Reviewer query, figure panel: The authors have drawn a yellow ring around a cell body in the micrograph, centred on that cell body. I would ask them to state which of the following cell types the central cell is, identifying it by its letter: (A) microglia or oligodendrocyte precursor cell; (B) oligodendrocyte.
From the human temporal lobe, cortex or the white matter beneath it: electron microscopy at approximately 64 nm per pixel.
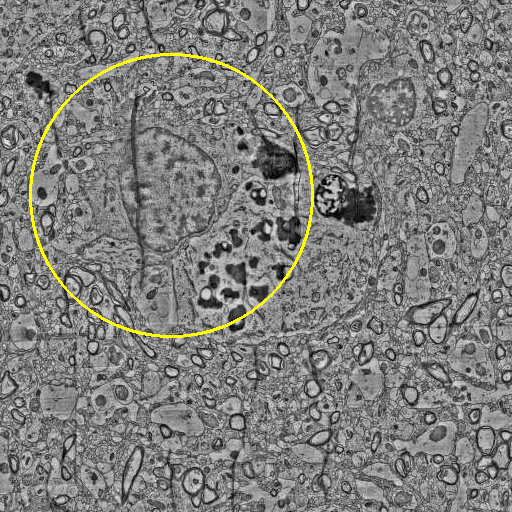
B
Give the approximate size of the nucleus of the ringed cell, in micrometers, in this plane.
Roughly 8 by 6 micrometres is the size of the nucleus in this plane.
